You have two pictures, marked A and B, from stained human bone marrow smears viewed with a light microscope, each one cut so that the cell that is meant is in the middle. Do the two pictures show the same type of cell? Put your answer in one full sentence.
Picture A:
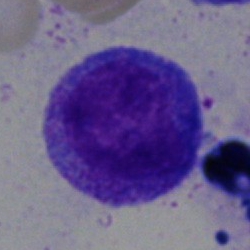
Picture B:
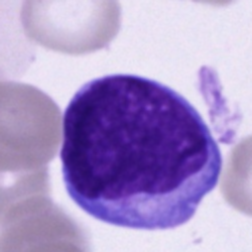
No. Picture A shows a promyelocyte, but picture B shows a blast.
